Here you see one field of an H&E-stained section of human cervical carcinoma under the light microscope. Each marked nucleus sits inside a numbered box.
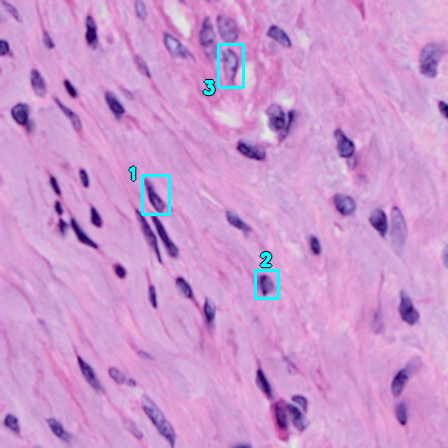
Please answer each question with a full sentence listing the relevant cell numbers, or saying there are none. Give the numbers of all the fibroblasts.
The cells tagged with numbers 1 and 2 are fibroblasts.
